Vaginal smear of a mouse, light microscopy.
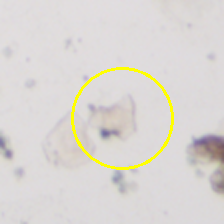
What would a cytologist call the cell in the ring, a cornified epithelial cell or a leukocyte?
A cytologist would call it a cornified epithelial cell.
